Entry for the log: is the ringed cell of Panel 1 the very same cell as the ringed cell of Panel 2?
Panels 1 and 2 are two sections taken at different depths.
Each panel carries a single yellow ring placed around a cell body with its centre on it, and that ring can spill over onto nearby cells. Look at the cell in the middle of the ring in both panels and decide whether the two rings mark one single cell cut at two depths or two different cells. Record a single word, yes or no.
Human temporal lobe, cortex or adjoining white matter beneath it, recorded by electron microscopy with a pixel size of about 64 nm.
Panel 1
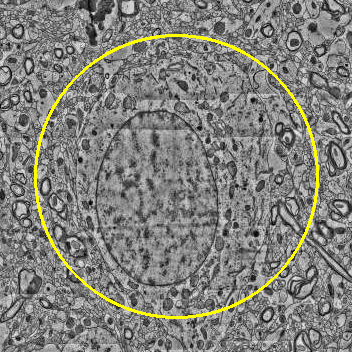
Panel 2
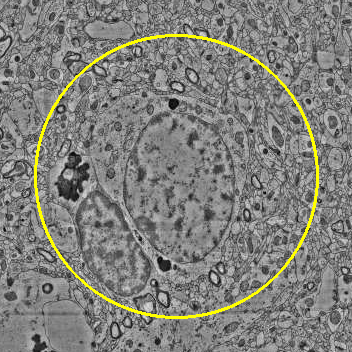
no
